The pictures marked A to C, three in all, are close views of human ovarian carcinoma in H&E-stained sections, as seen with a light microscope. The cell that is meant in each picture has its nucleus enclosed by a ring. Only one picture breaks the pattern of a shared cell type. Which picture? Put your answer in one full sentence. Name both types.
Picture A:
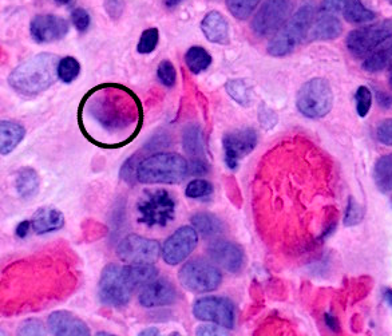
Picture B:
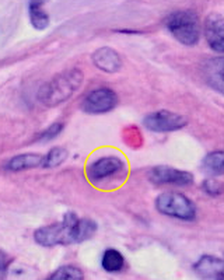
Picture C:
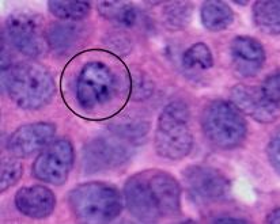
Unlike the rest, which show endothelial cells, picture C shows a “macrophage or monocyte”.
